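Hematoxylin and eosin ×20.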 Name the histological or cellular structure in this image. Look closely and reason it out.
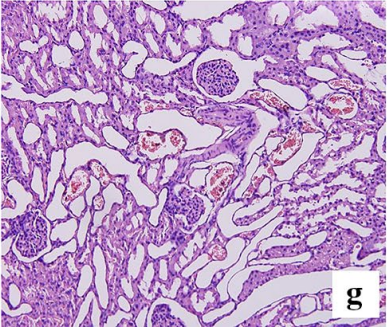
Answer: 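Round tufts of capillaries surrounded by a clear space. Many tubular profiles cut across the field.
Answer: glomeruli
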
